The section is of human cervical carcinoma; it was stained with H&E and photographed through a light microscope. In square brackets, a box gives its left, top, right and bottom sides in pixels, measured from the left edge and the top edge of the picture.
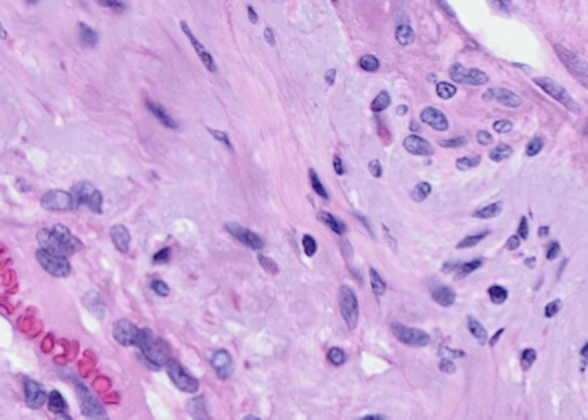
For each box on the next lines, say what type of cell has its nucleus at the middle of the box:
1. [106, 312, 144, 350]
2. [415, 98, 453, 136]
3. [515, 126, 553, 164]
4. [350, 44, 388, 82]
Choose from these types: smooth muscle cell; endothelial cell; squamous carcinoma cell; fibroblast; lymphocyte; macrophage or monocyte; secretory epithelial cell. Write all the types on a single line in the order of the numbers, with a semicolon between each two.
endothelial cell; smooth muscle cell; smooth muscle cell; smooth muscle cell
